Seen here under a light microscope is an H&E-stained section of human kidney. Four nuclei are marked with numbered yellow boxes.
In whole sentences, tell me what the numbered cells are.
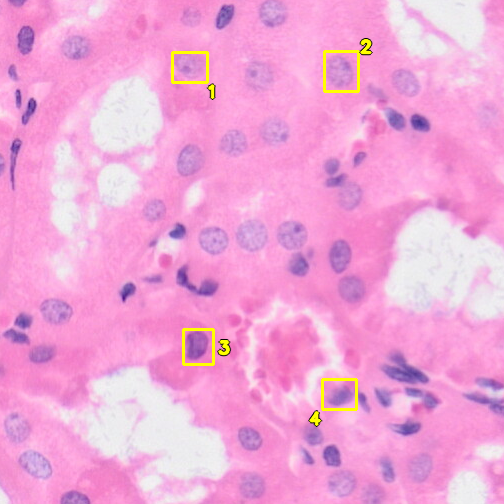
Cells 1, 2 and 3 are proximal tubule cells. Cell 4 is an endothelial cell.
